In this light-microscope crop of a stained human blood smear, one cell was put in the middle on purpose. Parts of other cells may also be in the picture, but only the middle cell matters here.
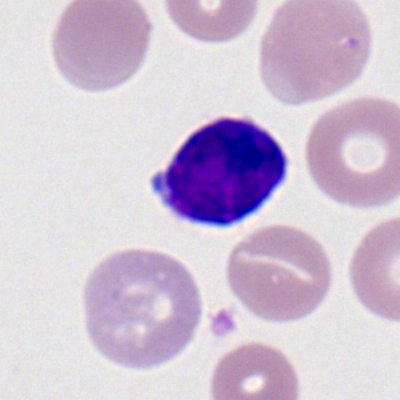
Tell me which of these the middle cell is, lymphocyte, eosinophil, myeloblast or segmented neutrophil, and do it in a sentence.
Regarding the central cell, it is a lymphocyte.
